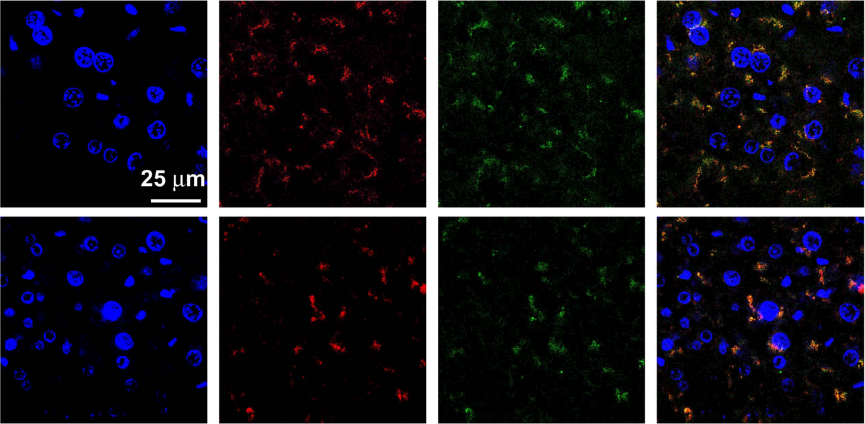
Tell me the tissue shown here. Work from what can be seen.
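Some large cells have two nuclei. Small elongated nuclei lie between the large nuclei. That points to this answer: liver.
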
